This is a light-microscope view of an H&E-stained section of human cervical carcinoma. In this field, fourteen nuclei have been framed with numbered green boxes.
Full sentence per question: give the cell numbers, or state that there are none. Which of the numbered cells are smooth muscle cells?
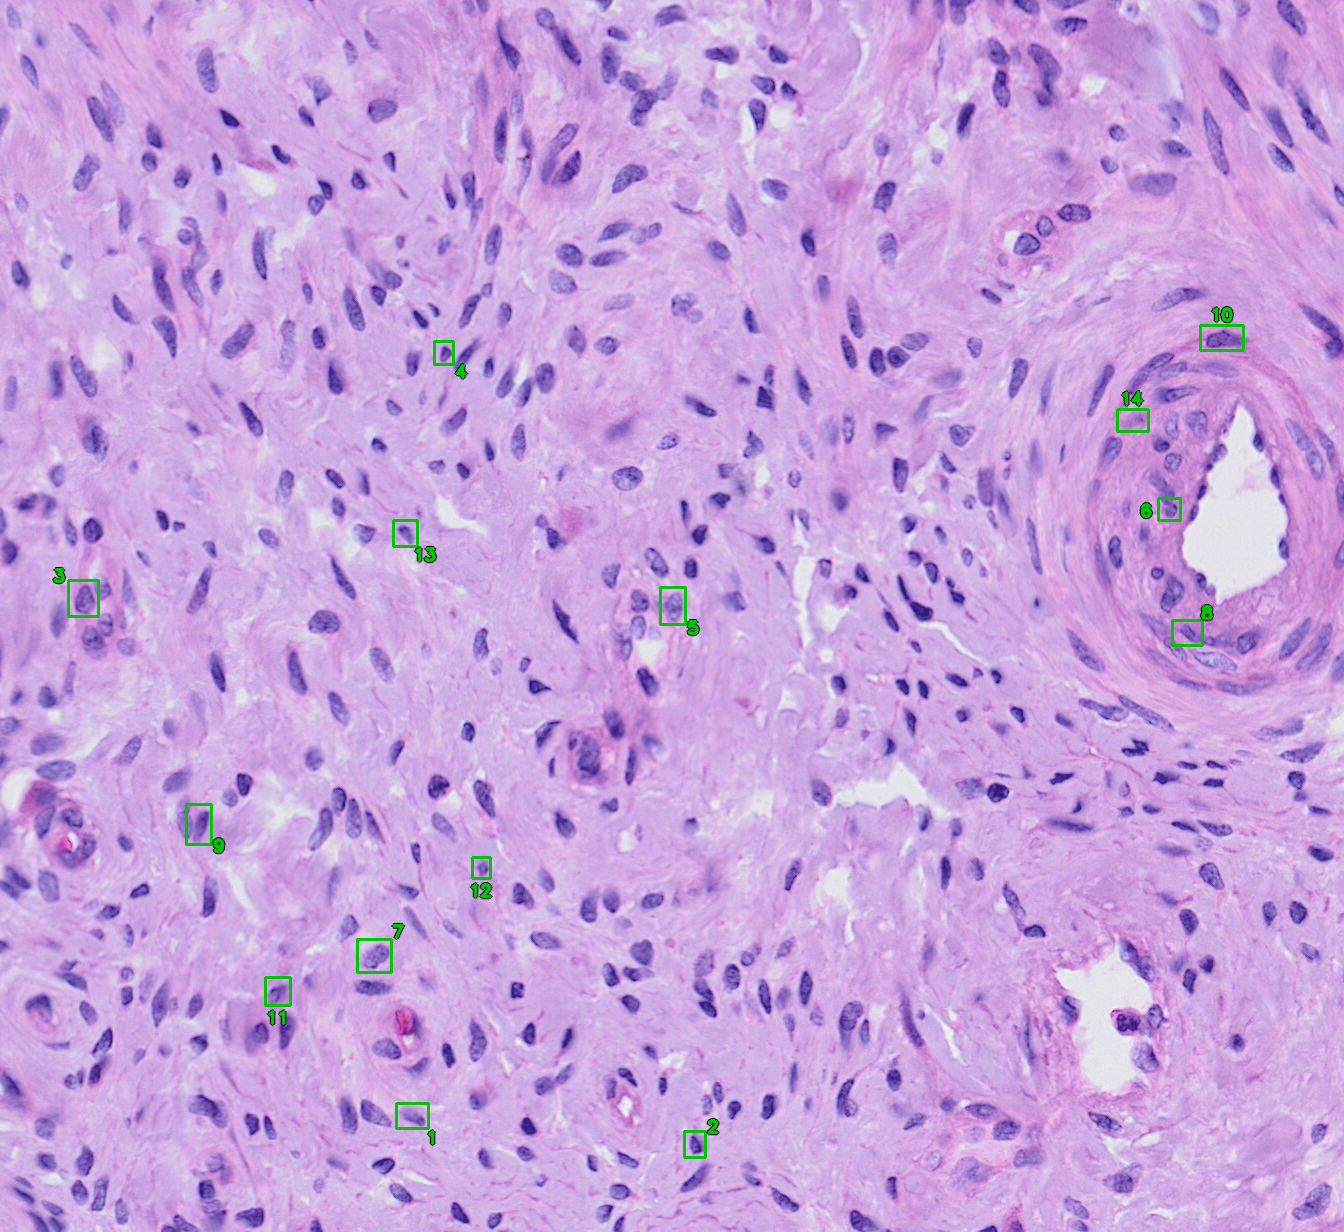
The cells identified by the numbers 5, 6, 8, 10 and 14 are smooth muscle cells.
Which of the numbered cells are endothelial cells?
Among the marked cells, an endothelial cell is found only at number 3.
